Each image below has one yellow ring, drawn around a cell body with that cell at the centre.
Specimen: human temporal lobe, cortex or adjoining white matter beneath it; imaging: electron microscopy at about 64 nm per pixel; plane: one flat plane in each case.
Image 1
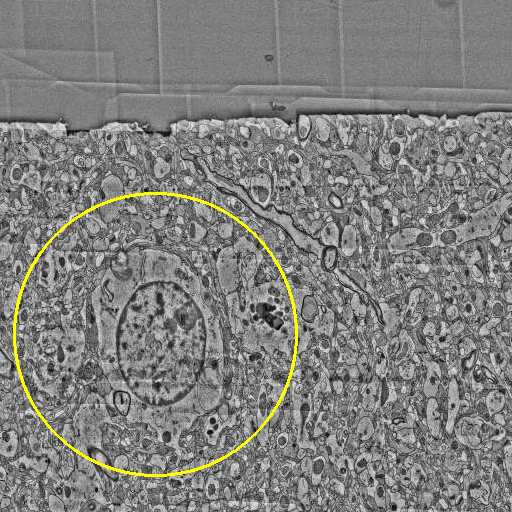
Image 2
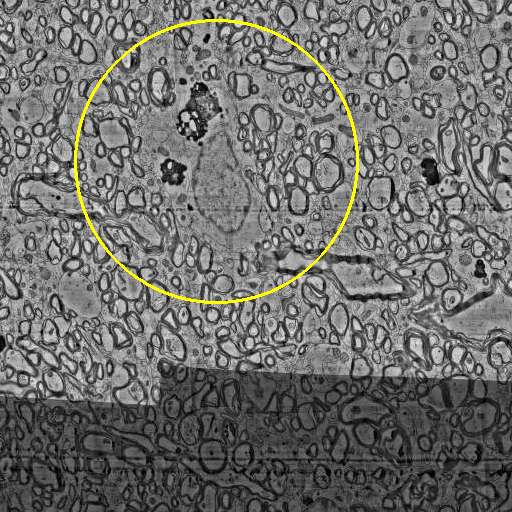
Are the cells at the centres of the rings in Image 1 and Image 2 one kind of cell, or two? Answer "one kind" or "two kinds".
one kind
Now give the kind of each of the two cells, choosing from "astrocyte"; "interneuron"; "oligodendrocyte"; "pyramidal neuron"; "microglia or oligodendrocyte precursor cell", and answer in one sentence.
Both rings mark an astrocyte, one in each picture.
